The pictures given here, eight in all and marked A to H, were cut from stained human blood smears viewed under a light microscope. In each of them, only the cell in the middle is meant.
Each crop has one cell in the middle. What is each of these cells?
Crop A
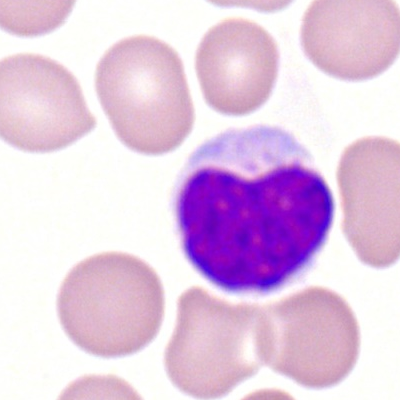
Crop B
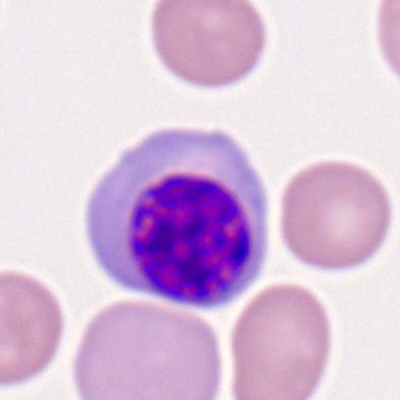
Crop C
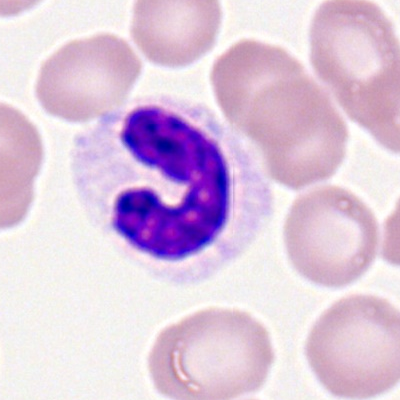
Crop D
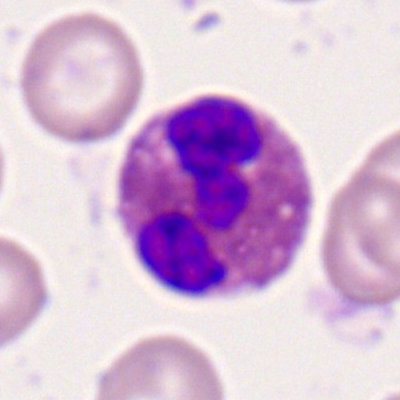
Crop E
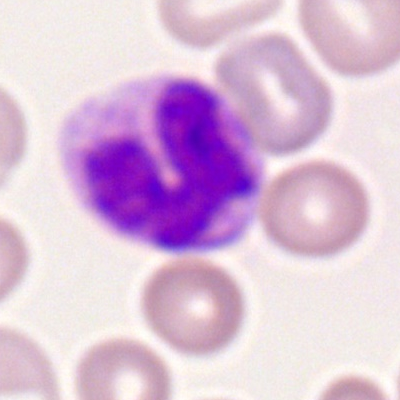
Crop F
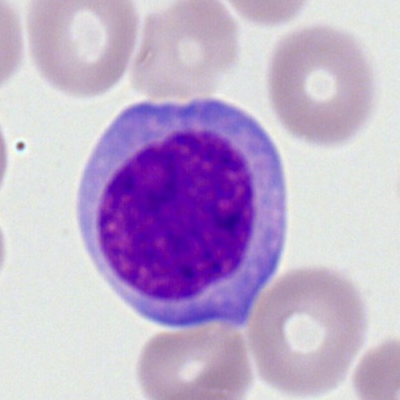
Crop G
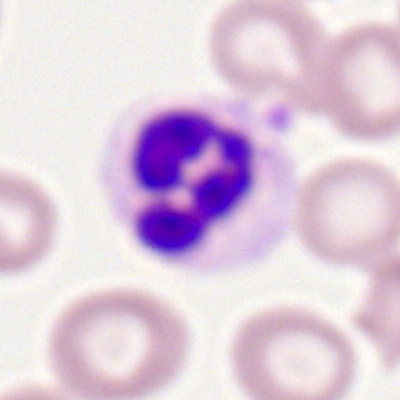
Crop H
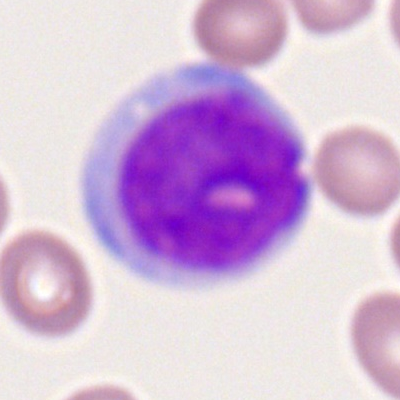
A: lymphocyte
B: erythroblast
C: band neutrophil
D: eosinophil
E: basophil
F: myeloblast
G: segmented neutrophil
H: myeloblast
